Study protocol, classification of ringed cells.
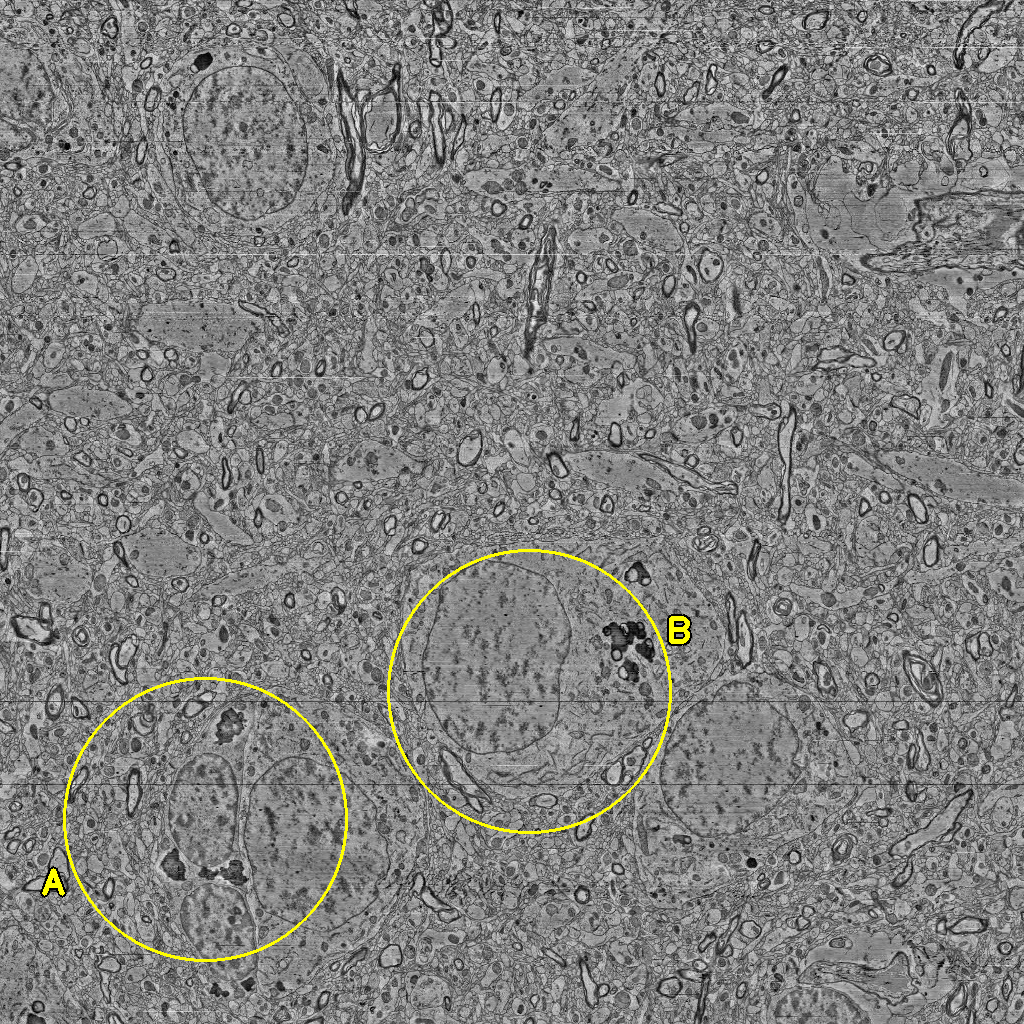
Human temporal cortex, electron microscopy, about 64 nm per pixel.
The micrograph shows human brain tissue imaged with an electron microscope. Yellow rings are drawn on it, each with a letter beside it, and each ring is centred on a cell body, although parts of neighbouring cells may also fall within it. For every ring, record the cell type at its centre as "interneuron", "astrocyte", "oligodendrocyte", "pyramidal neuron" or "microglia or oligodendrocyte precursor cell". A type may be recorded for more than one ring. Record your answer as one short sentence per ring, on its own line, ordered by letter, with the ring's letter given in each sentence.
Ring A has been centred on an oligodendrocyte.
Ring B has been centred on a pyramidal neuron.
